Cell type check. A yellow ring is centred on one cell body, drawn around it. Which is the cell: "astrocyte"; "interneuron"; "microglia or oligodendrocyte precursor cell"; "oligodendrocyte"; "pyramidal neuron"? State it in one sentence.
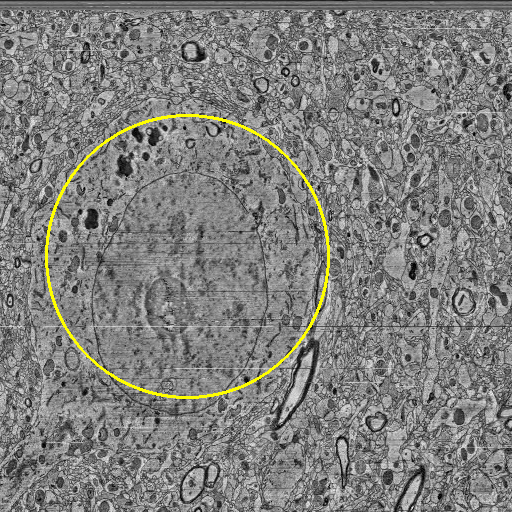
The cell body at the ring's centre belongs to a pyramidal neuron.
